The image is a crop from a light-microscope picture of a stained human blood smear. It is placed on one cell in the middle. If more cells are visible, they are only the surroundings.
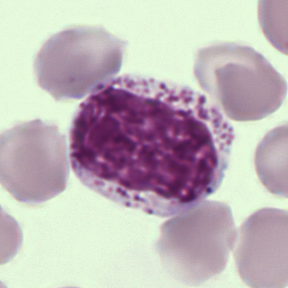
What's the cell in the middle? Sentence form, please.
Positioned in the middle of the crop is a metamyelocyte.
